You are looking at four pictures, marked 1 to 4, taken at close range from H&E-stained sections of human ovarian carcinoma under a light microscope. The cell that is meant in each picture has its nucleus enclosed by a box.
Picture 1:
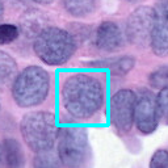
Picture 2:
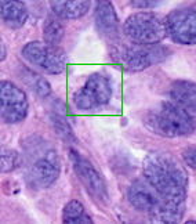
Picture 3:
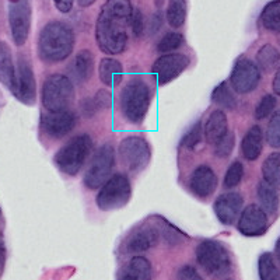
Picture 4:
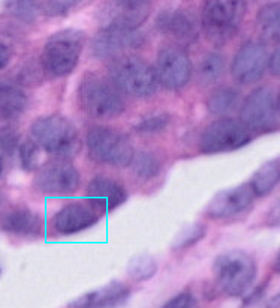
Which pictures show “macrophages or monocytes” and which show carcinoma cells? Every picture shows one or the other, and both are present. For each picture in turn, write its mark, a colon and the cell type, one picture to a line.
1: carcinoma cell
2: macrophage or monocyte
3: carcinoma cell
4: carcinoma cell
